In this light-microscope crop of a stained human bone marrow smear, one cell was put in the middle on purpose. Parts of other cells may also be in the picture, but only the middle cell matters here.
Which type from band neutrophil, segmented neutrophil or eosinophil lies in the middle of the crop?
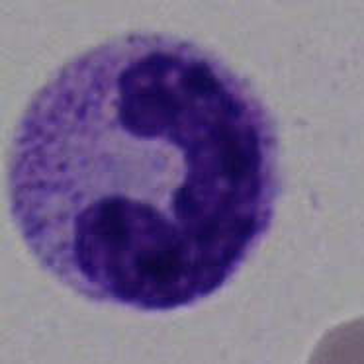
band neutrophil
